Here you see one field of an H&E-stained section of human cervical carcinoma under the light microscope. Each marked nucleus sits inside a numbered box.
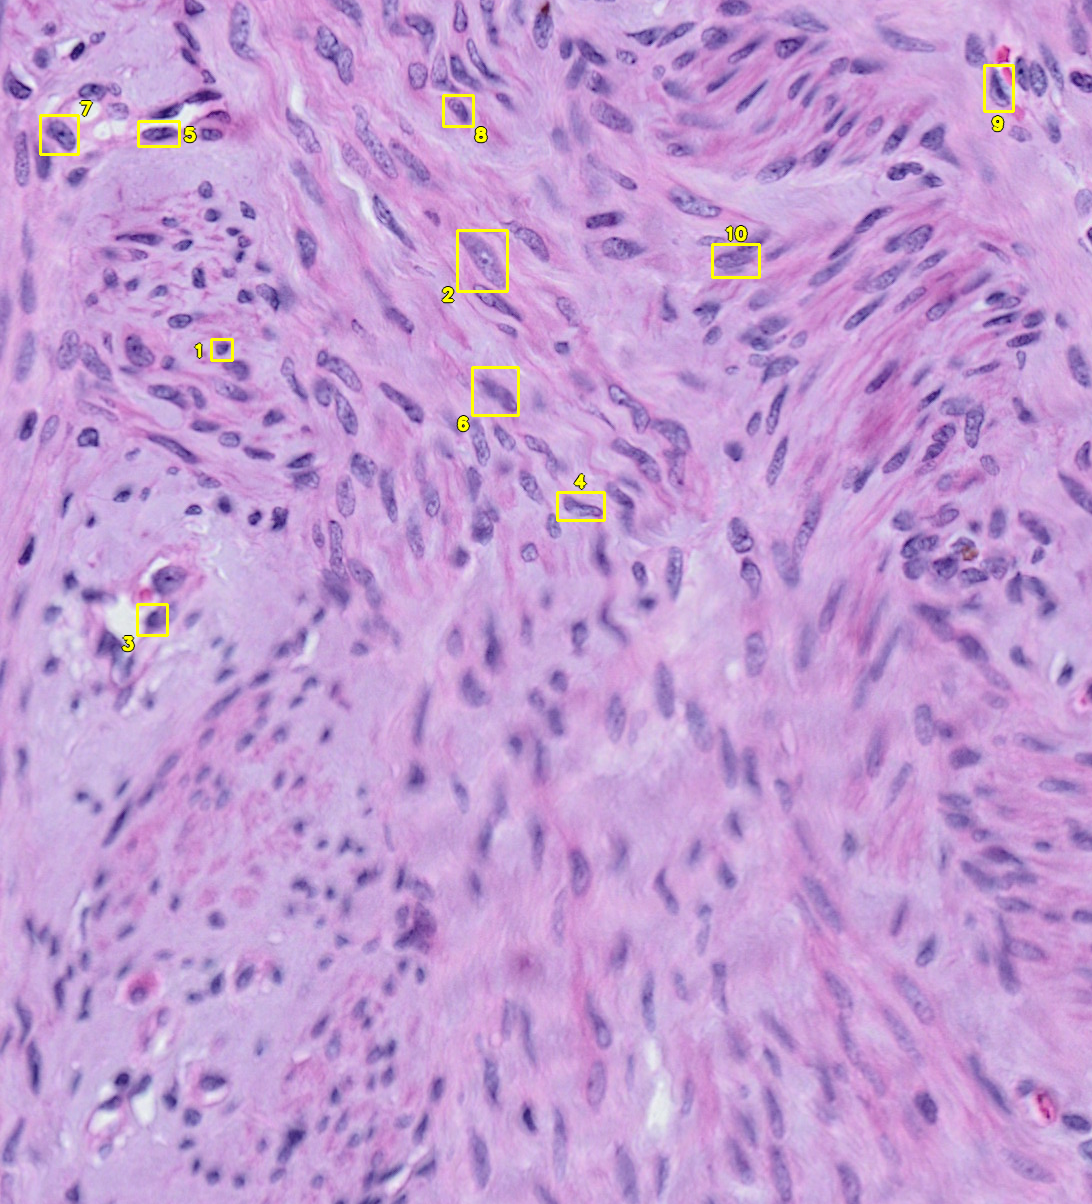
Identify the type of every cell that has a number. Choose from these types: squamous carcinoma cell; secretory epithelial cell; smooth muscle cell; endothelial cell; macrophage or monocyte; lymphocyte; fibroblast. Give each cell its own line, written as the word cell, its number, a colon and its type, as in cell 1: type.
cell 1: smooth muscle cell
cell 2: smooth muscle cell
cell 3: endothelial cell
cell 4: smooth muscle cell
cell 5: endothelial cell
cell 6: smooth muscle cell
cell 7: endothelial cell
cell 8: smooth muscle cell
cell 9: endothelial cell
cell 10: smooth muscle cell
